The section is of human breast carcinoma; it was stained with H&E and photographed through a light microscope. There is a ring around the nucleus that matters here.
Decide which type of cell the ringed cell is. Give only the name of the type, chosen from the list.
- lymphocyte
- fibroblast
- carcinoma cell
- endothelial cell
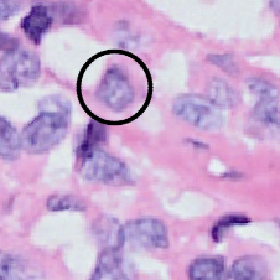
carcinoma cell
